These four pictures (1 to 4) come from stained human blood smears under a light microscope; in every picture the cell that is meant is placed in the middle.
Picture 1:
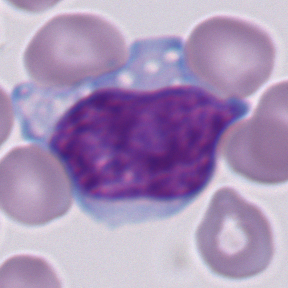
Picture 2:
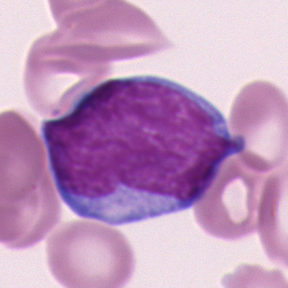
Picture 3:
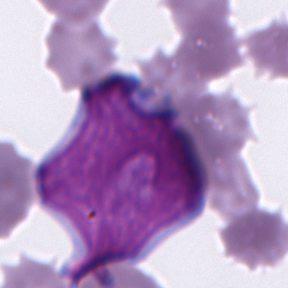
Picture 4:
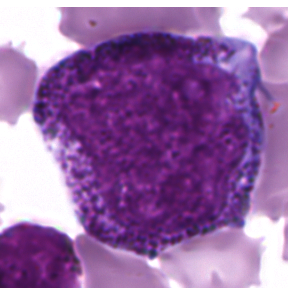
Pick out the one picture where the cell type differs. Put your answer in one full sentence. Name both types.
The others show myeloblasts, but picture 4 shows a promyelocyte.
